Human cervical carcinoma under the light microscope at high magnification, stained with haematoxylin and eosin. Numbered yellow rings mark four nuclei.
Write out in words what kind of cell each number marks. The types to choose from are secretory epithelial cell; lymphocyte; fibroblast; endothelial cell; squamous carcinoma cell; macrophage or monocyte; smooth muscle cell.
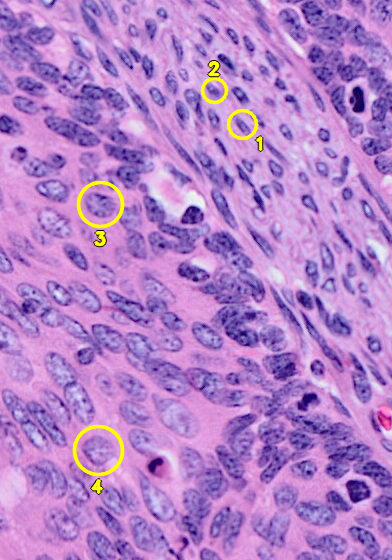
Cell 1 is a smooth muscle cell, cell 2 is a smooth muscle cell, cell 3 is a squamous carcinoma cell and cell 4 is a squamous carcinoma cell.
